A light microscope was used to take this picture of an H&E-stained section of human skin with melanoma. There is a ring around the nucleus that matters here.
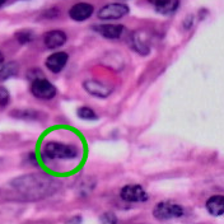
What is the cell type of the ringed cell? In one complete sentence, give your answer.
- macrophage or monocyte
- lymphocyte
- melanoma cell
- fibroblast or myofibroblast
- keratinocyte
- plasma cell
The category to which the ringed cell belongs is that of a plasma cell.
